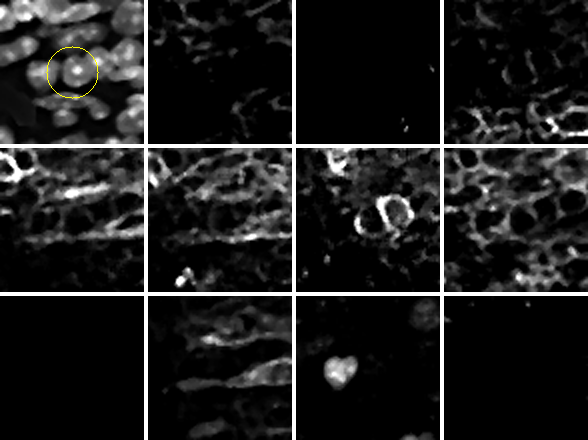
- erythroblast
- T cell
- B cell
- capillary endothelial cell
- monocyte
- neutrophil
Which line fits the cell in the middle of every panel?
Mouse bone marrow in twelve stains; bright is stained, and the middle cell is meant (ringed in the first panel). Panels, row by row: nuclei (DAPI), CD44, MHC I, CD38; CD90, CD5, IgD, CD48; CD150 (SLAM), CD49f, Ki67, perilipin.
B cell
